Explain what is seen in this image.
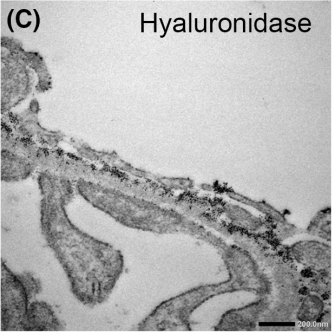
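This electron micrograph shows part of a glomerular capillary wall, with the lumen as a pale area above and the urinary side below. The thin endothelial layer lies on a grey basement membrane, and beneath it several podocyte foot processes with rounded profiles extend downward. Dark particles along the luminal surface of the wall form only irregular, patchy clumps rather than a continuous coat.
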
